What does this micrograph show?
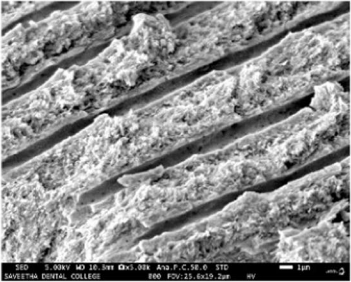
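This is a fractured surface of dentine seen in the scanning electron microscope, with the tubules cut along their length. The tubules appear as long, dark, parallel grooves running diagonally across the field. Between them lies the intertubular dentine, which looks rough and granular with a broken, crumbly texture. The grooves are open and fairly even in width, giving a regular tubular pattern across the whole field.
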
